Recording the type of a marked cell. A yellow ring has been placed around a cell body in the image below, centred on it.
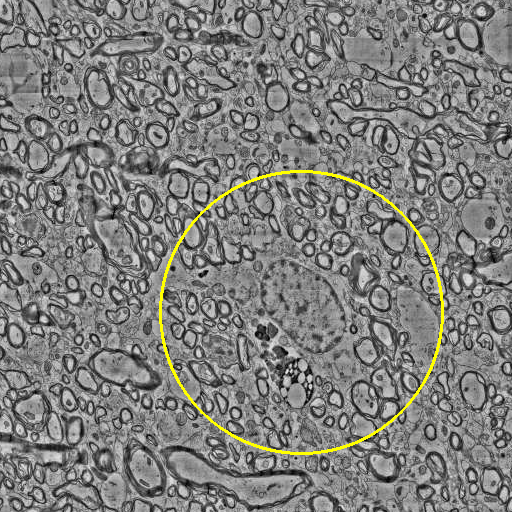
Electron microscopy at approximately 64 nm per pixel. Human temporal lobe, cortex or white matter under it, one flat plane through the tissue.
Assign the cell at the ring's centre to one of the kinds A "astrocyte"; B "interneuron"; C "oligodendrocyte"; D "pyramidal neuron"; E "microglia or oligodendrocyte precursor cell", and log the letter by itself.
A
